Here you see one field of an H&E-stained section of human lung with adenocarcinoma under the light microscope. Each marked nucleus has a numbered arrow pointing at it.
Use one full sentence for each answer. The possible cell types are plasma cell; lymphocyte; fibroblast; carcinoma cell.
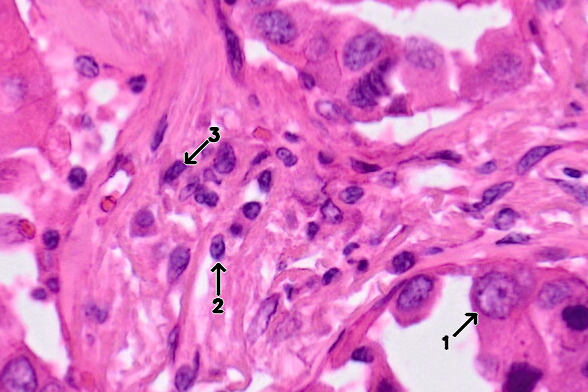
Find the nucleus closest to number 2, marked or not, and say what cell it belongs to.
The nearest nucleus to number 2 belongs to a plasma cell.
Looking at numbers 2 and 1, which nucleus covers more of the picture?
Of the two, number 1 is bigger and takes up about 4 times the area of number 2.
